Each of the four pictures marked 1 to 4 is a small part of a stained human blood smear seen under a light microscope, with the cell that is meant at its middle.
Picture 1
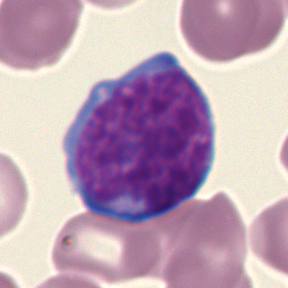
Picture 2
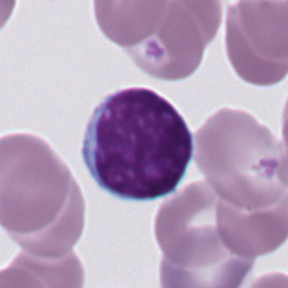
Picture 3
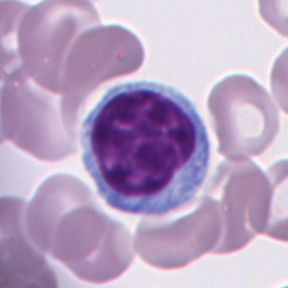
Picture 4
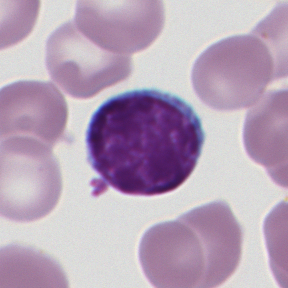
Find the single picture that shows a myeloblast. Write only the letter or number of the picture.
1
